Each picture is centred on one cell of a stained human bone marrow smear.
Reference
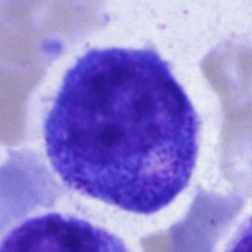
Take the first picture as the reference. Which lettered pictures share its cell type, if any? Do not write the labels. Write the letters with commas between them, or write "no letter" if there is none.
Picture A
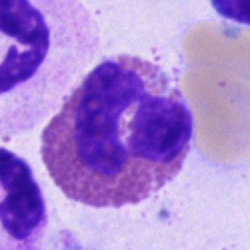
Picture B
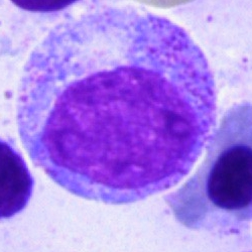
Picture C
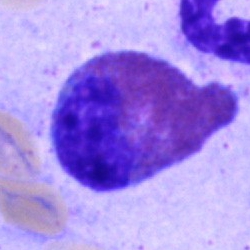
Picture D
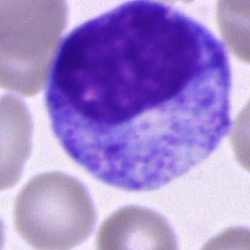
B, D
